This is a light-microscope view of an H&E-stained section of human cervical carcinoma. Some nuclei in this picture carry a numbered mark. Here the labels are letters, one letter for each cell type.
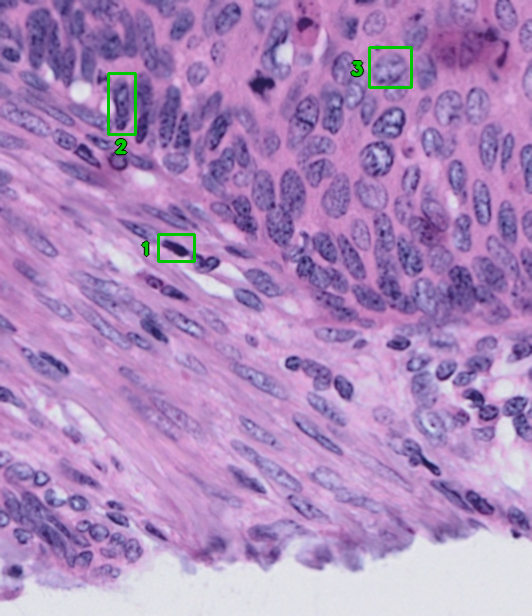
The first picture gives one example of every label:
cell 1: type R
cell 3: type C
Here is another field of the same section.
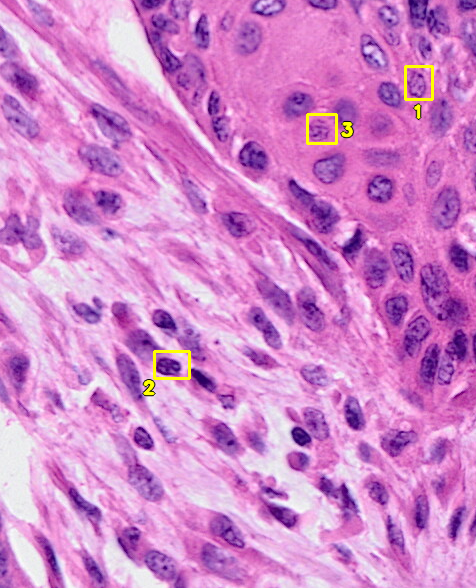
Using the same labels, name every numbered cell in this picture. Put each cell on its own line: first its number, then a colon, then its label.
1: type C
2: type R
3: type C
